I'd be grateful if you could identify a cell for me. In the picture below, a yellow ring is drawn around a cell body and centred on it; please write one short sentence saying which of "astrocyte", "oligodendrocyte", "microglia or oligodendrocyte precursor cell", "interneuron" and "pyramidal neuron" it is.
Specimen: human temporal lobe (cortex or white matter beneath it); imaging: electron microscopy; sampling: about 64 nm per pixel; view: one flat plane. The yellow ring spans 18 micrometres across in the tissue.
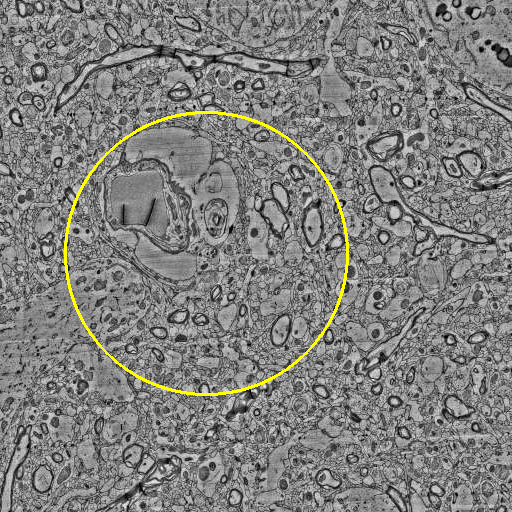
The cell under the ring's centre is a microglial cell or oligodendrocyte precursor cell.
